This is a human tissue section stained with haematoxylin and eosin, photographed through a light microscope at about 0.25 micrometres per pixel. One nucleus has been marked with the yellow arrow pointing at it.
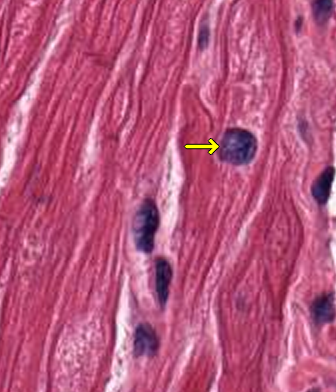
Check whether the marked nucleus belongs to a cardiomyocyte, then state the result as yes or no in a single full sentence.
Yes, the marked nucleus is the nucleus of a cardiomyocyte in this section.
